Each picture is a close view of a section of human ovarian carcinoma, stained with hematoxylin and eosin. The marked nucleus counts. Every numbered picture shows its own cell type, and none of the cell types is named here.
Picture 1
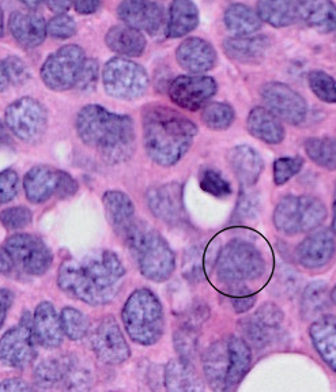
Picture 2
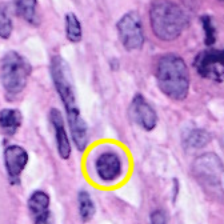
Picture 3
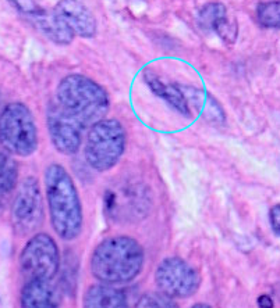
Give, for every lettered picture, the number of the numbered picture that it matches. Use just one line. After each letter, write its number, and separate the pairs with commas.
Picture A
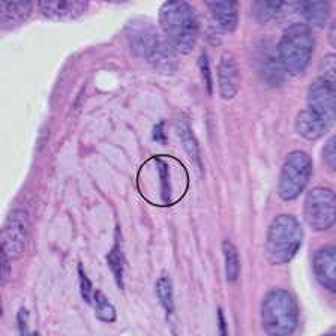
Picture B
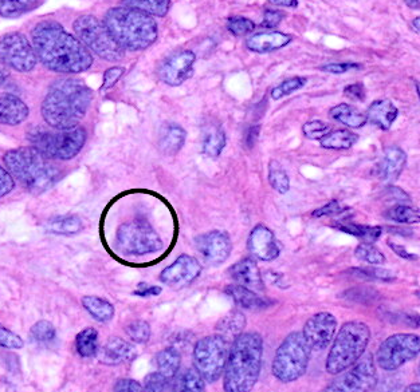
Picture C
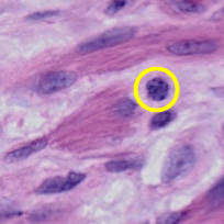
A 3, B 3, C 2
